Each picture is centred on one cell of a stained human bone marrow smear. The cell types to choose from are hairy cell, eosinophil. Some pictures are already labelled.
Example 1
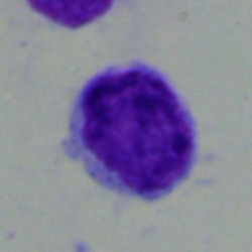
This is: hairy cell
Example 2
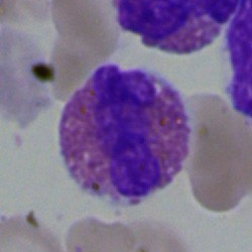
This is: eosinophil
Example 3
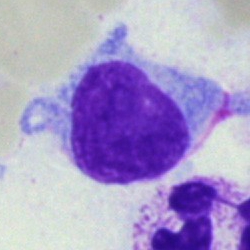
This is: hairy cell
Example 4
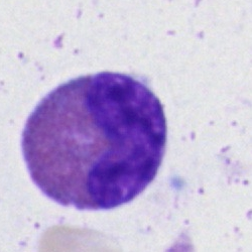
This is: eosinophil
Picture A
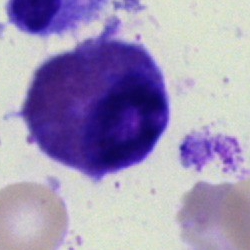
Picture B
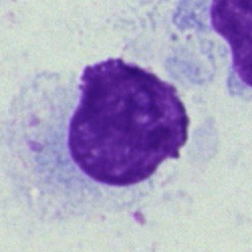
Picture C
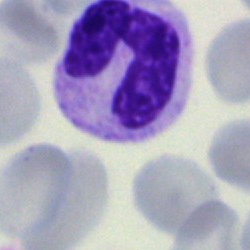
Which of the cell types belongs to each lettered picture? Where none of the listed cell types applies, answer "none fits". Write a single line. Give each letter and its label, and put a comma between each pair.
A eosinophil, B hairy cell, C none fits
